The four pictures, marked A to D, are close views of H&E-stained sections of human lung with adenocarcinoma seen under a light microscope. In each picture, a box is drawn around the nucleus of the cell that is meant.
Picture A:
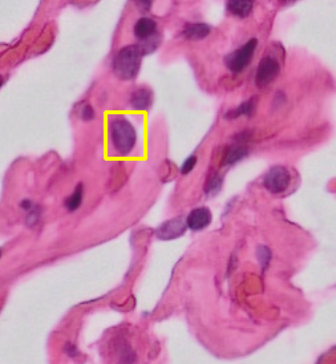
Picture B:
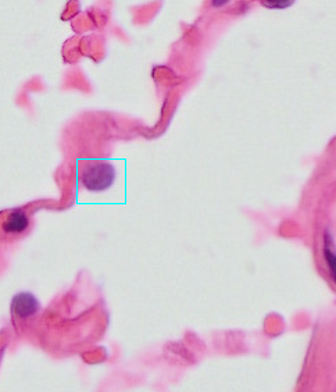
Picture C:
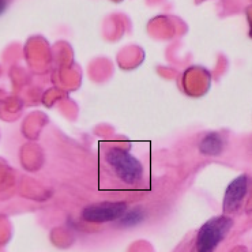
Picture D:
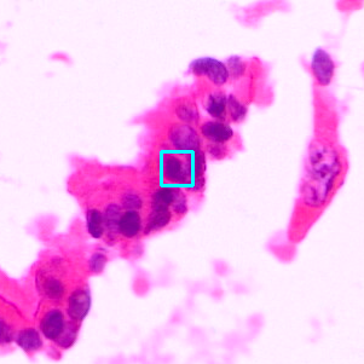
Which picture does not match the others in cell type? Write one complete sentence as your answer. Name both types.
Picture D is the odd one out: it shows a ciliated epithelial cell, while the others show type I pneumocytes.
